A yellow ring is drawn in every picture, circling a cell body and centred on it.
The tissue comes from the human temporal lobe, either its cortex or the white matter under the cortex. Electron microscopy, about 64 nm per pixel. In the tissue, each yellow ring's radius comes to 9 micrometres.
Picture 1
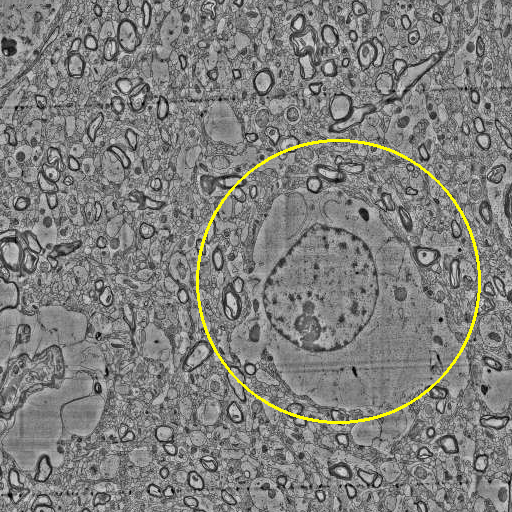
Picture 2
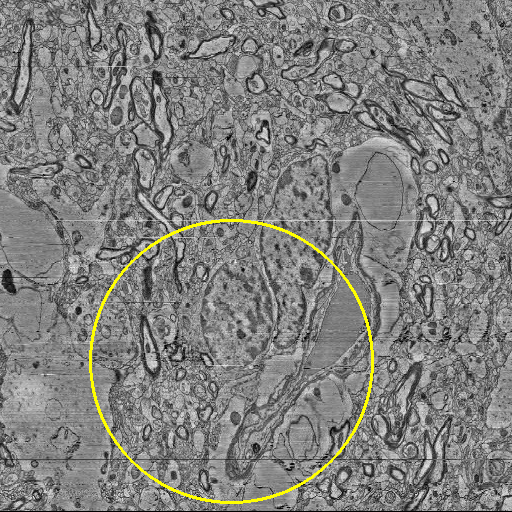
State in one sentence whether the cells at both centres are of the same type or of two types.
The cells at the two ring centres, one per picture, are of two types.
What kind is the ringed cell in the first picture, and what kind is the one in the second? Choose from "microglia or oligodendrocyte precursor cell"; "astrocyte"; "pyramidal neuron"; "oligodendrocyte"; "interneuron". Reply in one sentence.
The first cell is an astrocyte; the second is an oligodendrocyte.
